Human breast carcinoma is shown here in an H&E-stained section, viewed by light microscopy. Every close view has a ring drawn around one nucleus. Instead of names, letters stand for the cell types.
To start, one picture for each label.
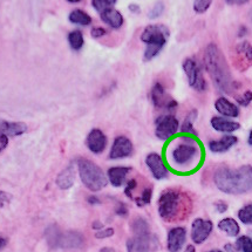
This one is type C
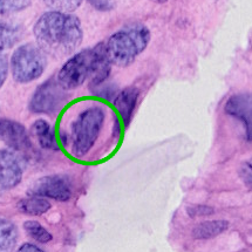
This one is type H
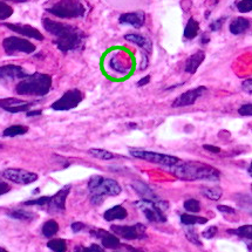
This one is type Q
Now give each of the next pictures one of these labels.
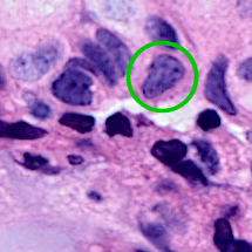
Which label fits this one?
type H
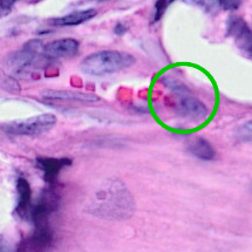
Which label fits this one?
type Q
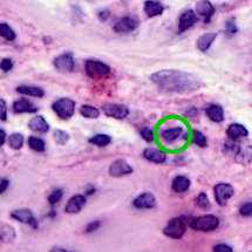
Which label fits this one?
type C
